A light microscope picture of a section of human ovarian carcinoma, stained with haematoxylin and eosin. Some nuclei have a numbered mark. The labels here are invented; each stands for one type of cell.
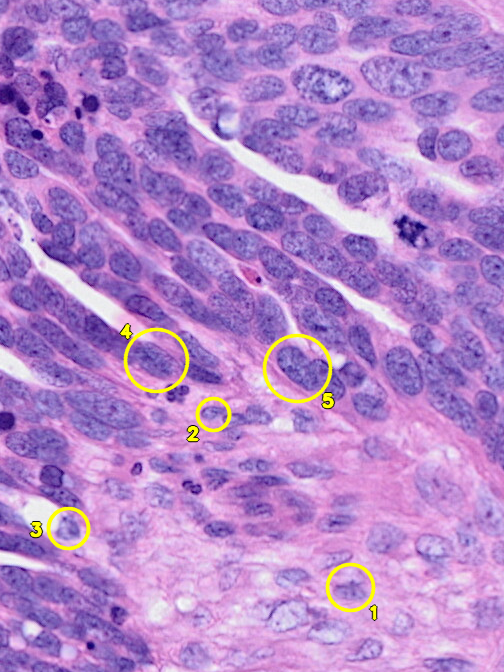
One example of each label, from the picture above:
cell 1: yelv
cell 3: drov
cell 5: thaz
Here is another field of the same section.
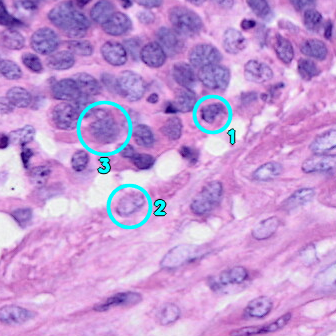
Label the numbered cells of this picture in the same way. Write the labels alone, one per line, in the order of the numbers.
drov
yelv
thaz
